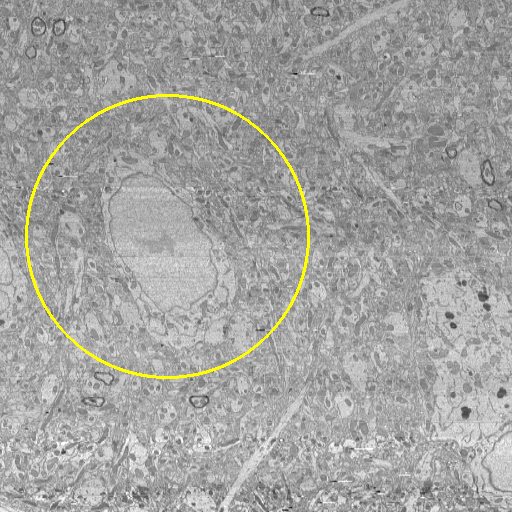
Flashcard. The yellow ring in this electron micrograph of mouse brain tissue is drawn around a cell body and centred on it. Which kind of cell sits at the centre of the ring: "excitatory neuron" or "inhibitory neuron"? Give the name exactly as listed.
inhibitory neuron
